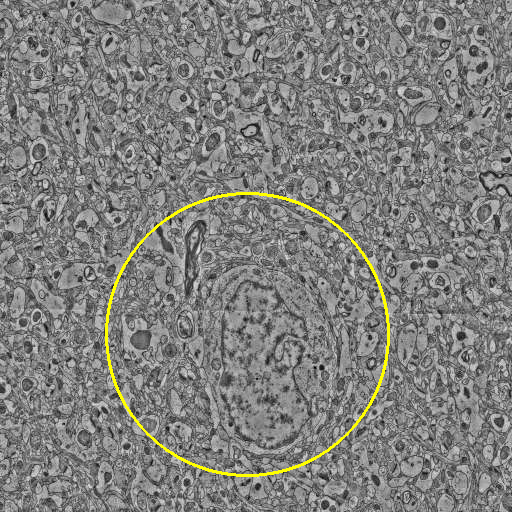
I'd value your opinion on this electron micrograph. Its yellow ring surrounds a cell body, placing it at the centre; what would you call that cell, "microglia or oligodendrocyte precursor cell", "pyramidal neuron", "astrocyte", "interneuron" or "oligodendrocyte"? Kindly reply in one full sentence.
It is an interneuron that sits centred within the yellow ring in this micrograph.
